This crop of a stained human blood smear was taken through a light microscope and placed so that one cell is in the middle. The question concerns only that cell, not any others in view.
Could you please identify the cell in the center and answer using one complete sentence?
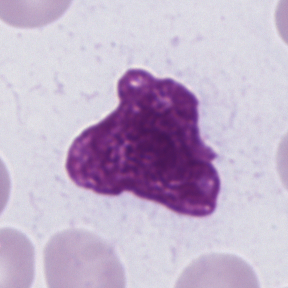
Regarding the central cell, it is a smudge cell.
